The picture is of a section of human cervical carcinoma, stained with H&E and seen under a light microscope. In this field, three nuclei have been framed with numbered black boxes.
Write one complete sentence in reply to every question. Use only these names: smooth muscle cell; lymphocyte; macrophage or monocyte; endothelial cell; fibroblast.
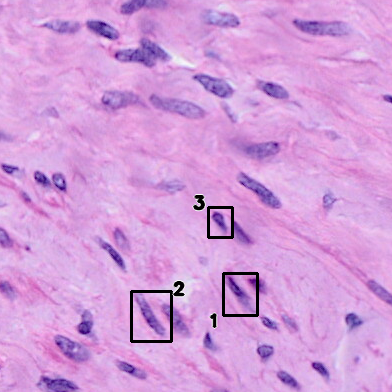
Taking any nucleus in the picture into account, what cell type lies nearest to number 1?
Number 1 lies closest to the nucleus of a smooth muscle cell.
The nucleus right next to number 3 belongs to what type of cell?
The cell nearest to number 3 is a fibroblast.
